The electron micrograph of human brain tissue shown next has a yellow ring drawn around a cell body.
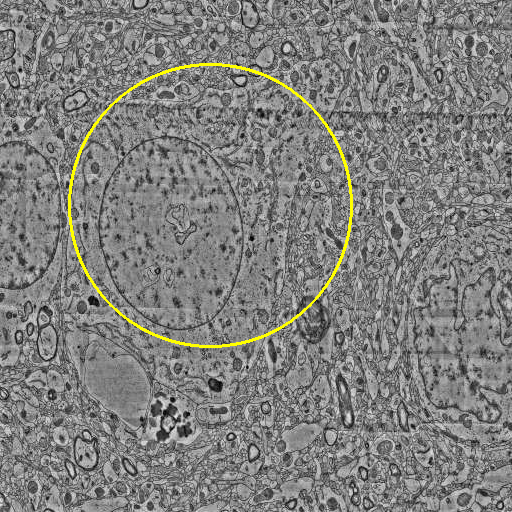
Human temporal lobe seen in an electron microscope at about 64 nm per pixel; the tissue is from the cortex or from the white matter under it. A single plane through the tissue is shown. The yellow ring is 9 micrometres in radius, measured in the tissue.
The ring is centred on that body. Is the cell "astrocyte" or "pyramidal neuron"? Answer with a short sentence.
The cell in question is a pyramidal neuron.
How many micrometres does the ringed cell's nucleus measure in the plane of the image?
About 12 by 9 micrometers, in this plane.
